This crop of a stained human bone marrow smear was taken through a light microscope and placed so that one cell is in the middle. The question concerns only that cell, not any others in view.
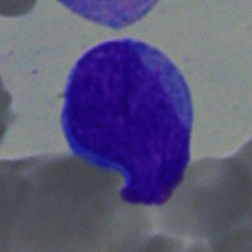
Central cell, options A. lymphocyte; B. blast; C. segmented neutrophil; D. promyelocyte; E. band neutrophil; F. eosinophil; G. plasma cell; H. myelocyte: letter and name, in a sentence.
The centrally positioned cell is a blast, consistent with option B, which is correct.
